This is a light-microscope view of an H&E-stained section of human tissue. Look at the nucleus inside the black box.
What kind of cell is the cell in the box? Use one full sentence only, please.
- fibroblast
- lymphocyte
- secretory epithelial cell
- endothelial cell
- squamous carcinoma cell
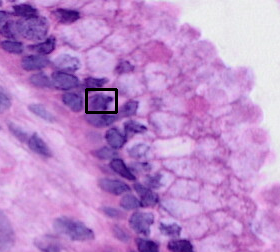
Placed in its cell category, the cell in the box is a secretory epithelial cell.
